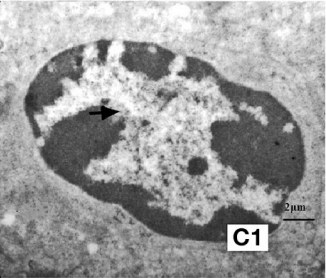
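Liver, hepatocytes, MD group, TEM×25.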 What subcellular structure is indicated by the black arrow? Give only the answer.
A: chromatin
